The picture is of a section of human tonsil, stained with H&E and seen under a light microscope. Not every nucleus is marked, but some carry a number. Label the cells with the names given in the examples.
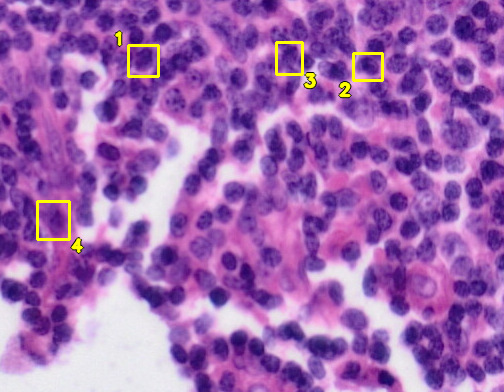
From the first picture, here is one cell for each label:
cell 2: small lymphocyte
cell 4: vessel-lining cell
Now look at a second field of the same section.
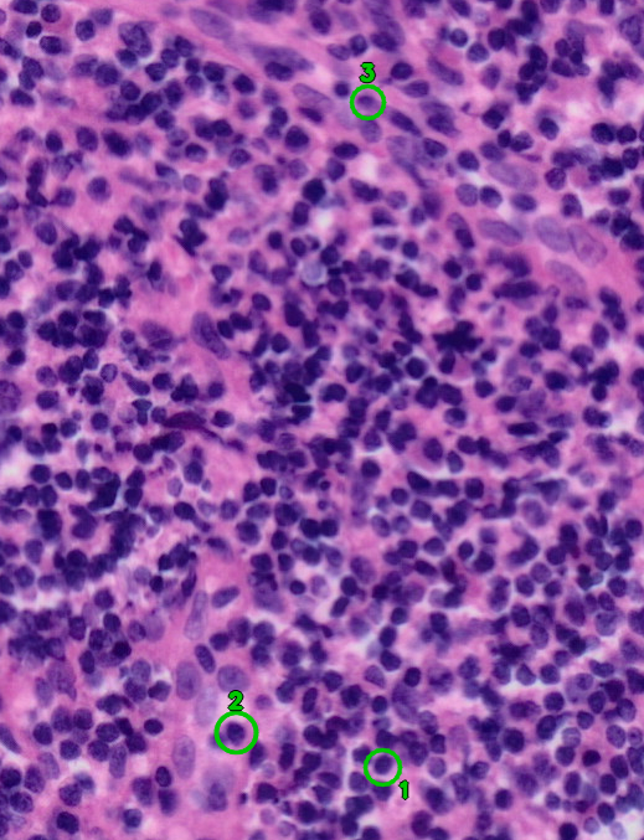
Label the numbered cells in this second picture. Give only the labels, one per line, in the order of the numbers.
small lymphocyte
vessel-lining cell
vessel-lining cell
